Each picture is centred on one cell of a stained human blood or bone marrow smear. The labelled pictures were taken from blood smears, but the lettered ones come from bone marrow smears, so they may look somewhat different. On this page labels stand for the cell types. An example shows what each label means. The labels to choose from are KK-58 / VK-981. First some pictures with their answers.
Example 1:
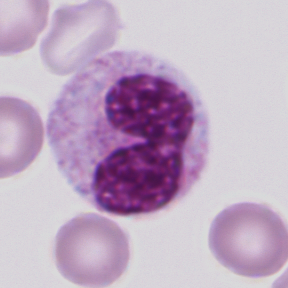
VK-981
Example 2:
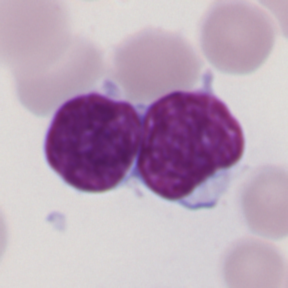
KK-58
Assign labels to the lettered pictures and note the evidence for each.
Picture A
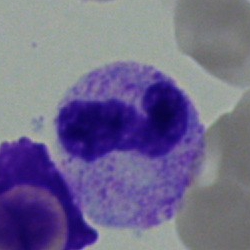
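VK-981: The cytoplasm is abundant and pale lilac, filling most of the lower half of the cell.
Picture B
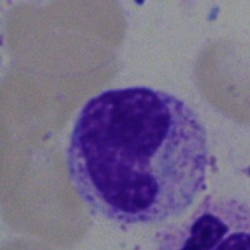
VK-981: The chromatin is dark purple and coarsely clumped.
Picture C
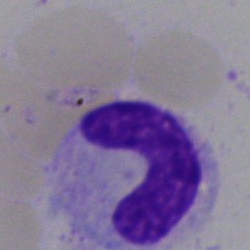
VK-981: The cytoplasm is plentiful and pale lilac-grey.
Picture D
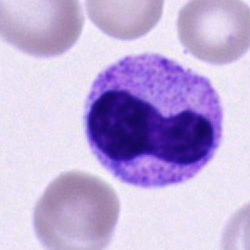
VK-981: Fine purple granules are scattered through the cytoplasm.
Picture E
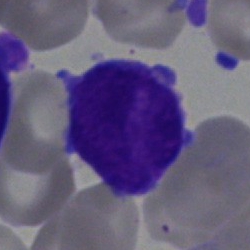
KK-58: Only a very thin rim of cytoplasm is visible at the cell edge.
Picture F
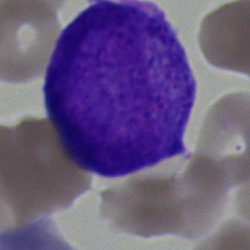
KK-58: The nucleus fills almost the entire cell.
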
